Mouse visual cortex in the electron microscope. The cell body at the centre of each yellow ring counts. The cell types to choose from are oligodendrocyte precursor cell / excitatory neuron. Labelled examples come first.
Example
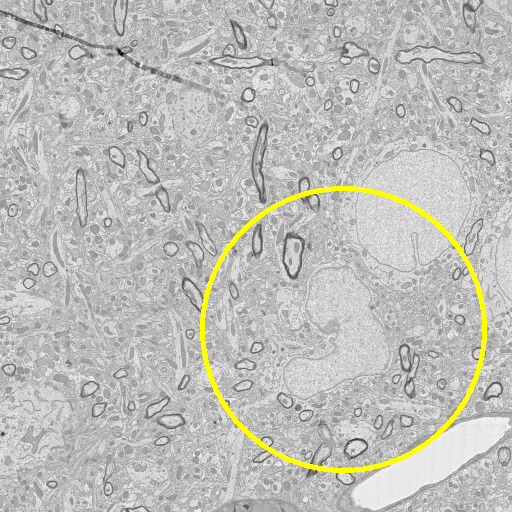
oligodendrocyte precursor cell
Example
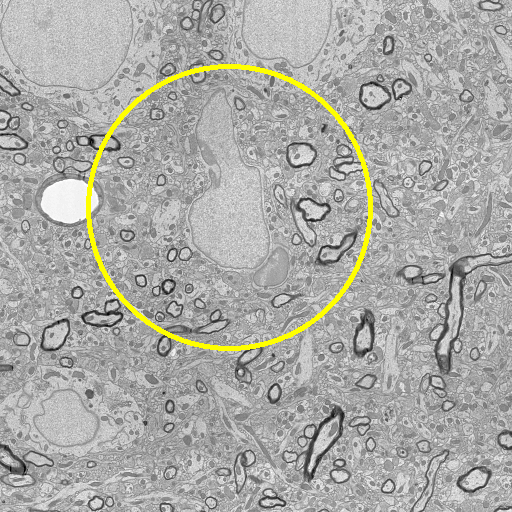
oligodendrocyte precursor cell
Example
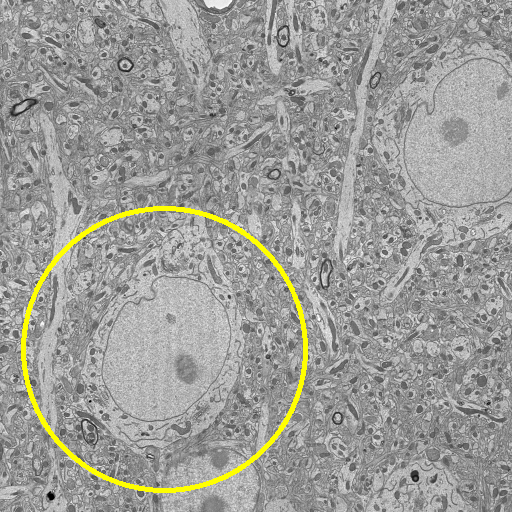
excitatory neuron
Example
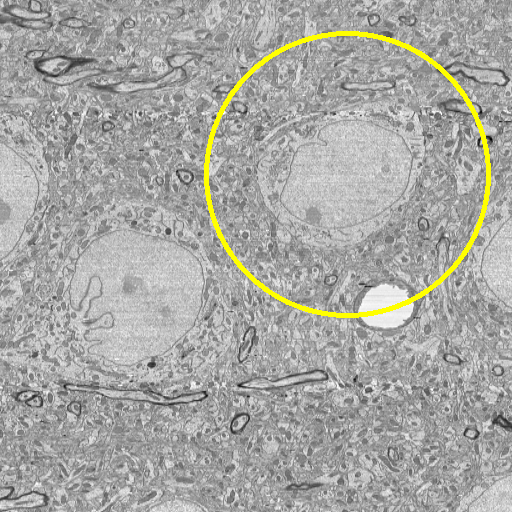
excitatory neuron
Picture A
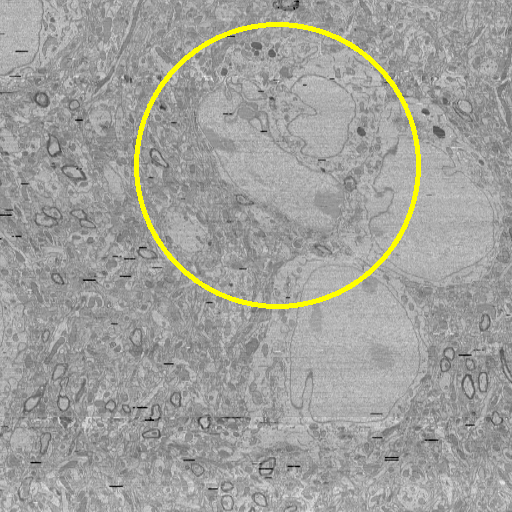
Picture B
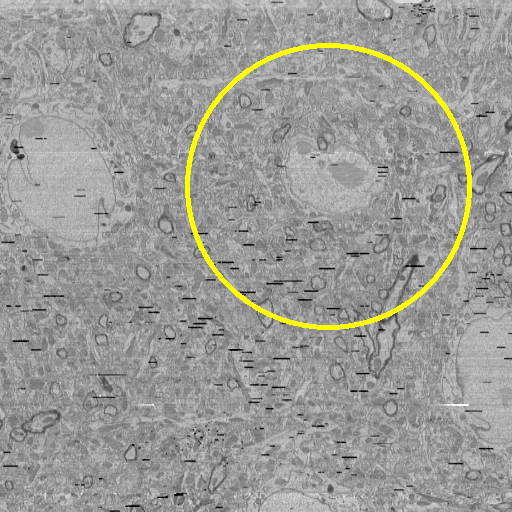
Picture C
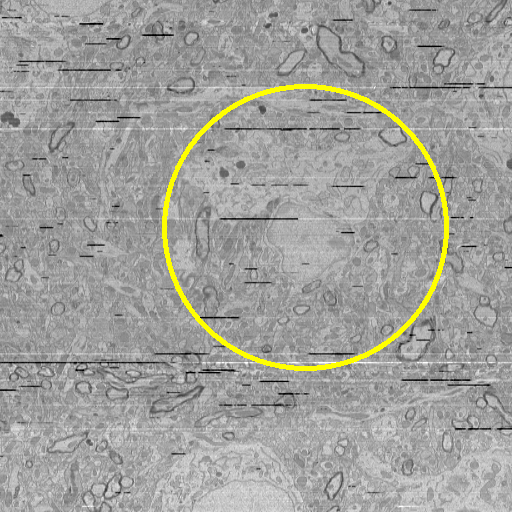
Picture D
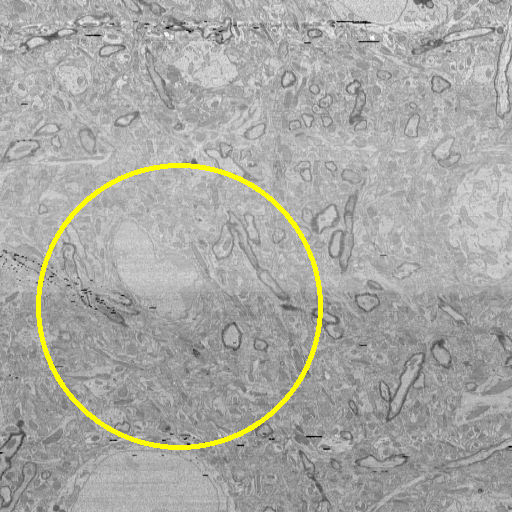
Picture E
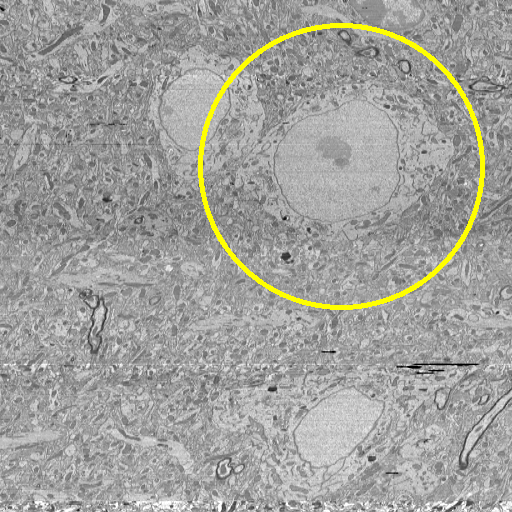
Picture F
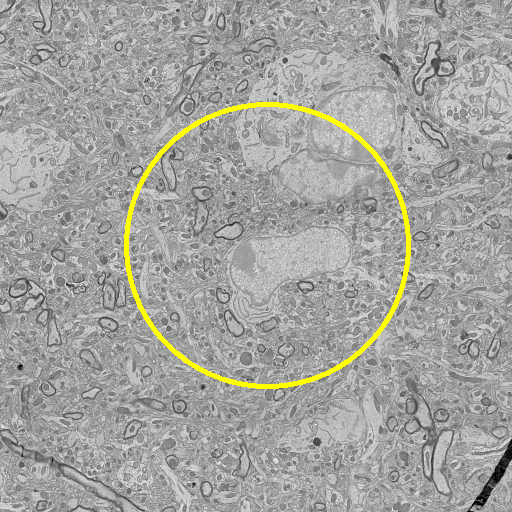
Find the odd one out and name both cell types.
Exception: E, showing excitatory neuron. Remaining pictures: oligodendrocyte precursor cell.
